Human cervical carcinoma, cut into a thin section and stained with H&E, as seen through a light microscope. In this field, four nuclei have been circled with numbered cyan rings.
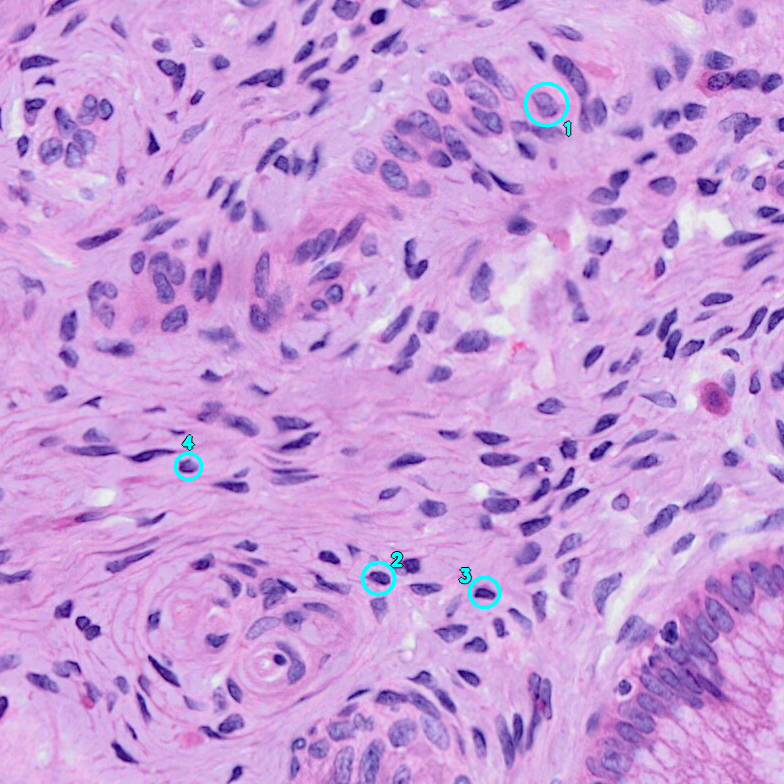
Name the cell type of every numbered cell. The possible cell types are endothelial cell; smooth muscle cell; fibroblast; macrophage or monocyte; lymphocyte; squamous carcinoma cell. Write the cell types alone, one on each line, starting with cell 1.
smooth muscle cell
fibroblast
fibroblast
fibroblast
